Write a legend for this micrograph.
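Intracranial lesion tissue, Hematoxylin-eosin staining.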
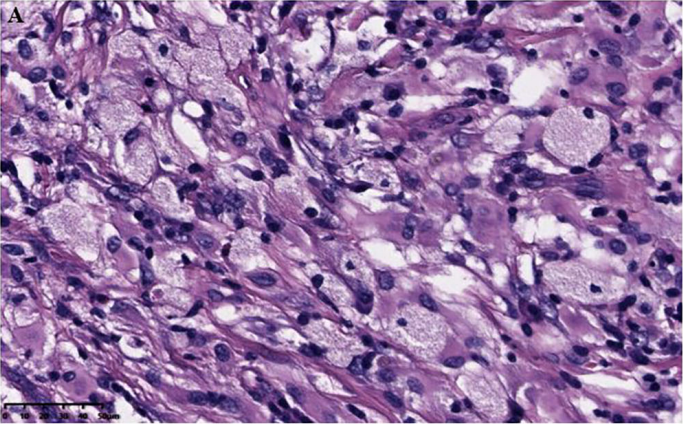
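Sheets of large cells with abundant cytoplasm fill the field, many with pale, finely bubbly cytoplasm and small round to oval dark nuclei, others with dense pink cytoplasm, set among thin pink fibrous strands and scattered small dark spindle-shaped and round nuclei. The pale bubbly and pink-bodied cells are foamy and eosinophilic histiocytes infiltrating the soft tissue mass.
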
